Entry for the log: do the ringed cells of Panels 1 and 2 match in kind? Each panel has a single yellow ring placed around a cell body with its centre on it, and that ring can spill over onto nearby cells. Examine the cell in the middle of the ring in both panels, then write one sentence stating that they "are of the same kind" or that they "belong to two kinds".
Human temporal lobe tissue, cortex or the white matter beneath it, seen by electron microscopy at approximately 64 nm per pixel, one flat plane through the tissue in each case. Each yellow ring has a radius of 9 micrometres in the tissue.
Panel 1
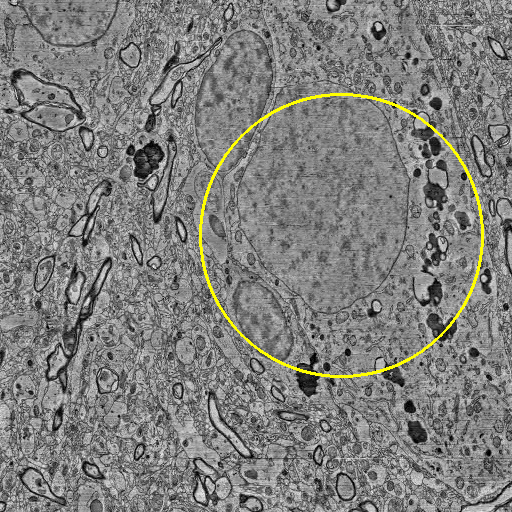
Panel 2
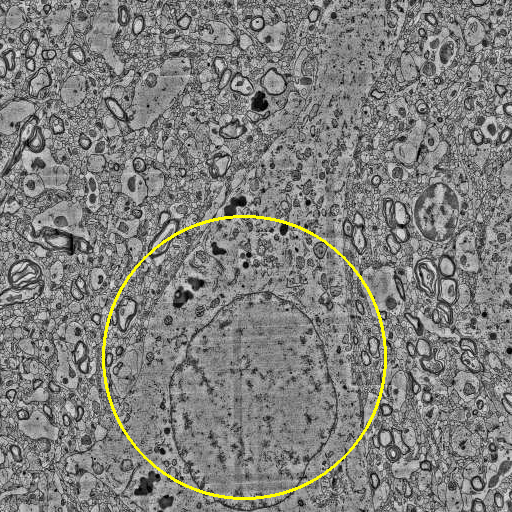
The centre cell of Panel 1's ring and that of Panel 2's ring are of the same kind.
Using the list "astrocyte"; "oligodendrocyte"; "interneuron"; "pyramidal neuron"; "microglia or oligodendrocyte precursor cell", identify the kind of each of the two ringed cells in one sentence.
In each picture the ringed cell is a pyramidal neuron.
